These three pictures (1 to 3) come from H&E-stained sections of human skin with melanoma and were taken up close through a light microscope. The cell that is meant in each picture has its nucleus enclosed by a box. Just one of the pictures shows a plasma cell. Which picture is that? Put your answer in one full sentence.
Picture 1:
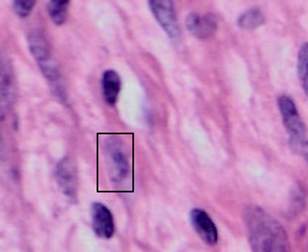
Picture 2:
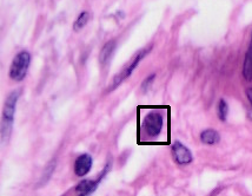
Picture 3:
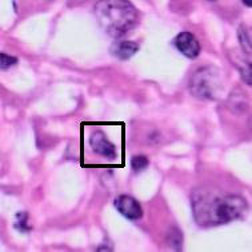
The plasma cell is the one in picture 2.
